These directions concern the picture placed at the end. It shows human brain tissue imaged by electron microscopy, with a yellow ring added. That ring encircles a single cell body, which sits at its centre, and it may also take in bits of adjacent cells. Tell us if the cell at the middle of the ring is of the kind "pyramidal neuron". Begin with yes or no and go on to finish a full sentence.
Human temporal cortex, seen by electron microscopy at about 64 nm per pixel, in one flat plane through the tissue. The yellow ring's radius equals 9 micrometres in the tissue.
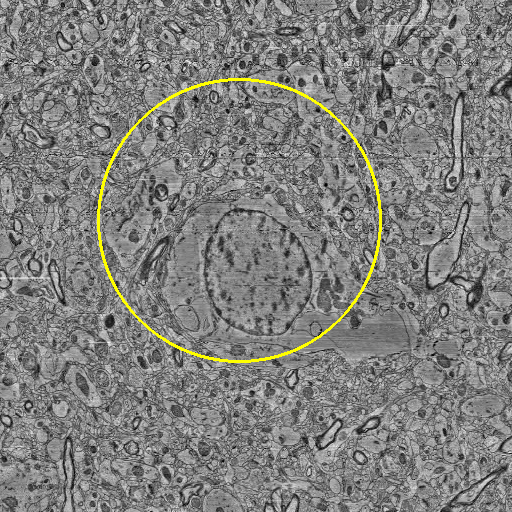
No, the cell sitting at the centre of the yellow ring in the picture belongs to another kind.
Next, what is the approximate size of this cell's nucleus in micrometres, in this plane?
The ringed cell's nucleus measures approximately 9 by 7 micrometres in this plane.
